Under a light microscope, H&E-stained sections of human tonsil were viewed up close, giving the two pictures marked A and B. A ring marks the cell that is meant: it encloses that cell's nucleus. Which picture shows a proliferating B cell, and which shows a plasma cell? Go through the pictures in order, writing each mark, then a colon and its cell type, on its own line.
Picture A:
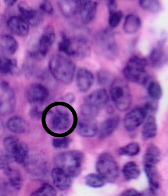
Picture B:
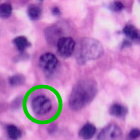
A: proliferating B cell
B: plasma cell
